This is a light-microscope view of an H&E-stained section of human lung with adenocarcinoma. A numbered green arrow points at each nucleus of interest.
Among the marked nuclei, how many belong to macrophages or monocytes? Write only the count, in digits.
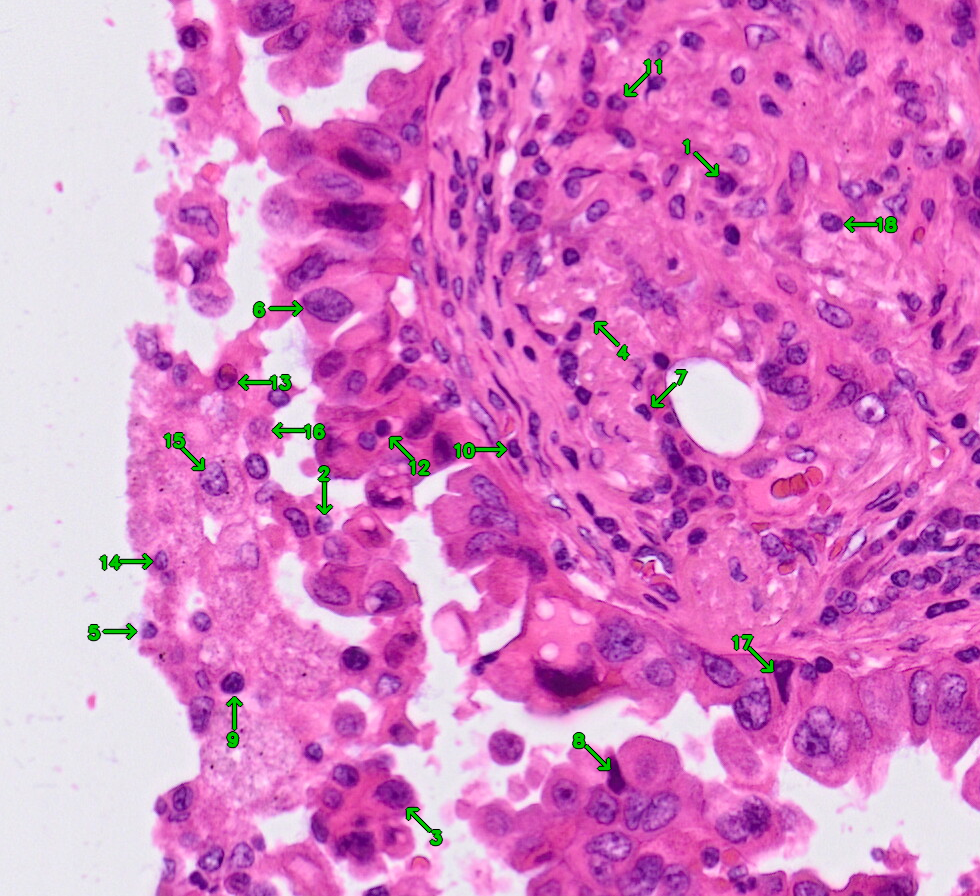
4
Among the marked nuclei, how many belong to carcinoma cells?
4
